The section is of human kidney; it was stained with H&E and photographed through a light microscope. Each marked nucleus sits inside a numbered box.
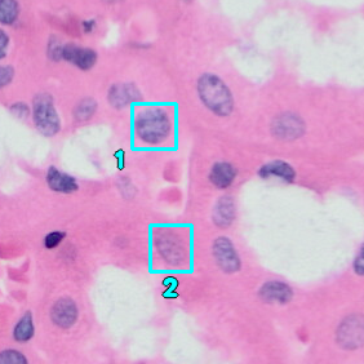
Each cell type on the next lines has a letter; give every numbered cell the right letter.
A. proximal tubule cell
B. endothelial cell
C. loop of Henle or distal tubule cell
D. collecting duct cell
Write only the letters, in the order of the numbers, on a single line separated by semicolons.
C; A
